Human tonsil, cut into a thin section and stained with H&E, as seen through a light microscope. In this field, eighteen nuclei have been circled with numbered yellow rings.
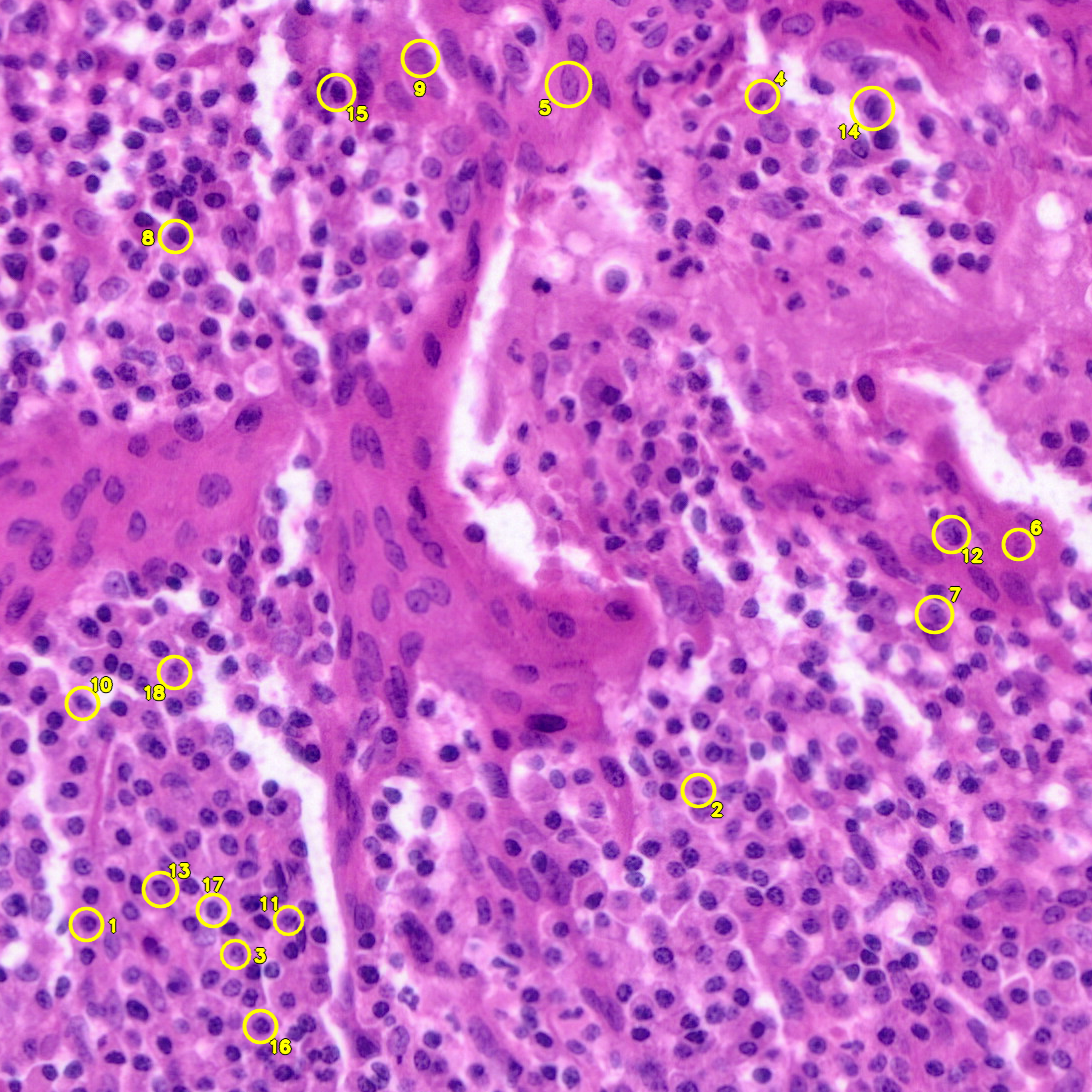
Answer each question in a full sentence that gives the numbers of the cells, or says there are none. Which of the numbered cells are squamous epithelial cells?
The cells marked with the numbers 4, 5, 6, 7, 9, 12 and 15 are squamous epithelial cells.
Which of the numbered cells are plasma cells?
To be specific, the cells numbered 1, 2, 3, 8, 10, 11, 13, 16, 17 and 18 are plasma cells.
